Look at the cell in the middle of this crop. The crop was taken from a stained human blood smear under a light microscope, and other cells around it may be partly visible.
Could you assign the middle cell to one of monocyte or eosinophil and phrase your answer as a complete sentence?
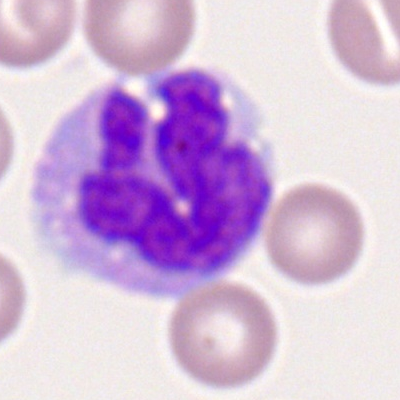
Present in the middle of the crop is a monocyte.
